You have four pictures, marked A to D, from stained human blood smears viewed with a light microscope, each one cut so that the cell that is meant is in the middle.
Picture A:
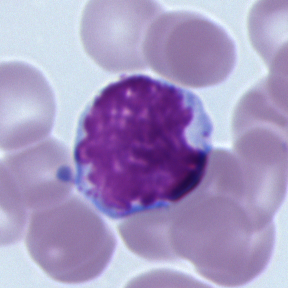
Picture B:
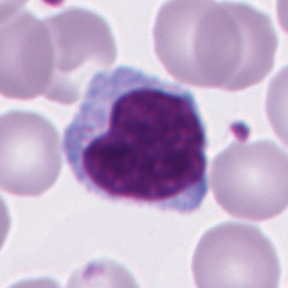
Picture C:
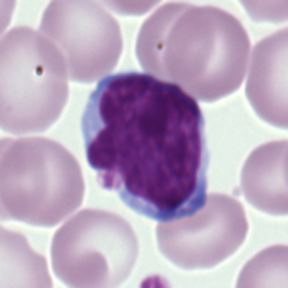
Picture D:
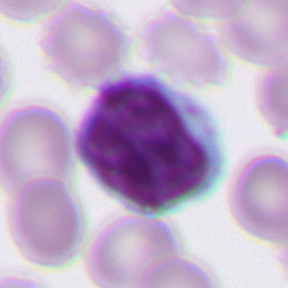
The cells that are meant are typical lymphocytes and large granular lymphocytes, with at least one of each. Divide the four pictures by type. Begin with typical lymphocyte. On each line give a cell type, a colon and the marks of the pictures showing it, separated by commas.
typical lymphocyte: B, C, D
large granular lymphocyte: A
